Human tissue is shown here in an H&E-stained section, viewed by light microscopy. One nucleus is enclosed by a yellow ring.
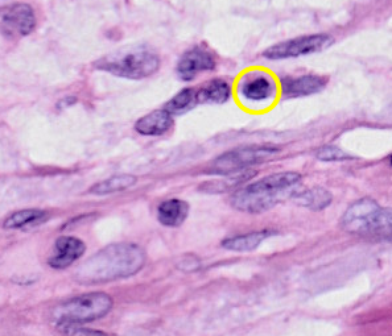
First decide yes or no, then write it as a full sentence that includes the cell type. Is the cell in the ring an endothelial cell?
No, the cell in the ring is not an endothelial cell; a lymphocyte is what it is.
